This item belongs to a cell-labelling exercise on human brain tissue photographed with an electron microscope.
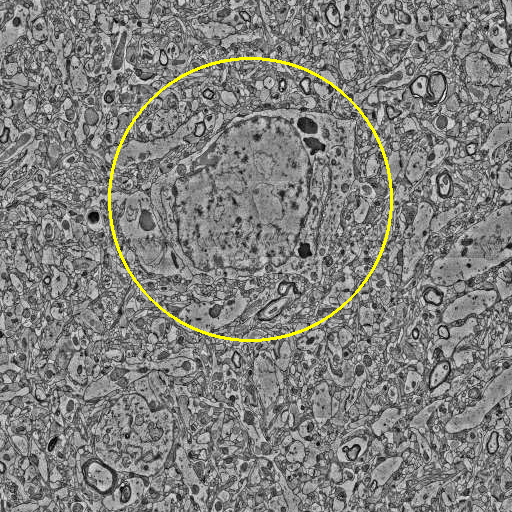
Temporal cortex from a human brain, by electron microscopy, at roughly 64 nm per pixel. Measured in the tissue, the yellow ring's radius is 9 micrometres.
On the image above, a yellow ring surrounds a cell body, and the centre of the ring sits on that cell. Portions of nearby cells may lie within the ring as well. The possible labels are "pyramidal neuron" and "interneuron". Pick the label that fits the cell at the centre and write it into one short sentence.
This cell should be labelled as an interneuron.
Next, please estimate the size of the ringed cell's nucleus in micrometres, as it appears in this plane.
In this plane, the nucleus is roughly 11 by 9 micrometres.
